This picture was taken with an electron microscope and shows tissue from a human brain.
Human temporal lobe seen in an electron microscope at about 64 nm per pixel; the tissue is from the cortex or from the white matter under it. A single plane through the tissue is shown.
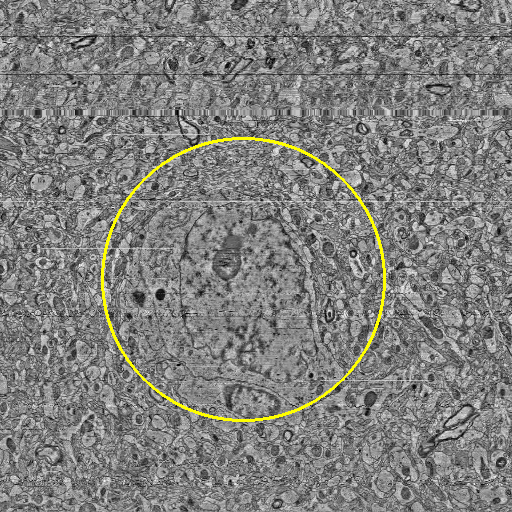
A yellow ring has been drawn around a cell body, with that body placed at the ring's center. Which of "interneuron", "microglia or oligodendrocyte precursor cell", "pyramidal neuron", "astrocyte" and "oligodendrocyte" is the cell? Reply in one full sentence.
In this picture, an interneuron is the cell at the center of the yellow ring.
